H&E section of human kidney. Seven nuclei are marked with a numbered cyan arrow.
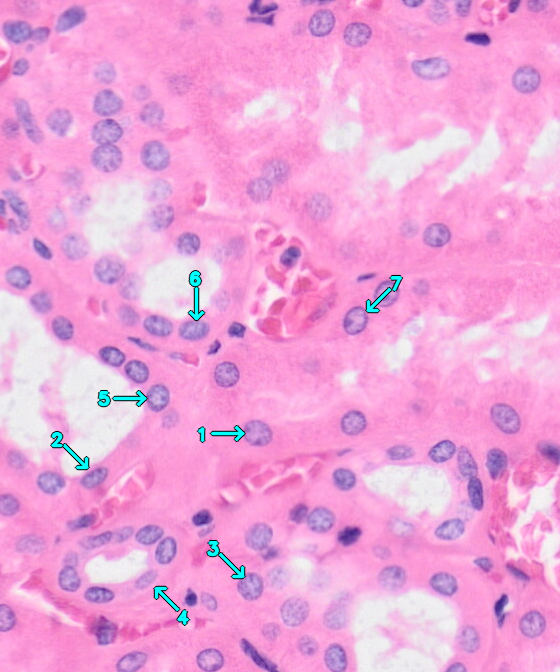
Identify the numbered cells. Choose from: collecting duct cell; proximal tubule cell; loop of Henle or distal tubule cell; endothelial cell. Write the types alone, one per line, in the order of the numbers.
proximal tubule cell
loop of Henle or distal tubule cell
loop of Henle or distal tubule cell
collecting duct cell
loop of Henle or distal tubule cell
loop of Henle or distal tubule cell
proximal tubule cell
